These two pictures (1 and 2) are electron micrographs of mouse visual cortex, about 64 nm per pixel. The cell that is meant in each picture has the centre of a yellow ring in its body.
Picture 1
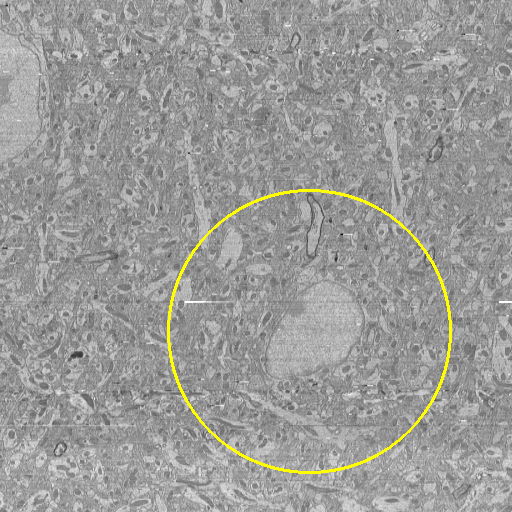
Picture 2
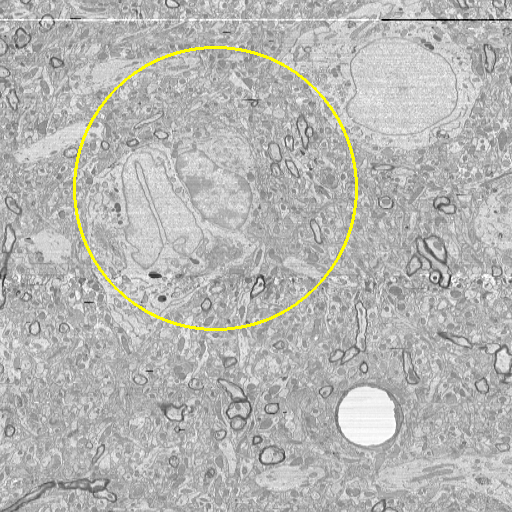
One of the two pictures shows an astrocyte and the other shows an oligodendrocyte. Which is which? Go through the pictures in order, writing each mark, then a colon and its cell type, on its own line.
1: astrocyte
2: oligodendrocyte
